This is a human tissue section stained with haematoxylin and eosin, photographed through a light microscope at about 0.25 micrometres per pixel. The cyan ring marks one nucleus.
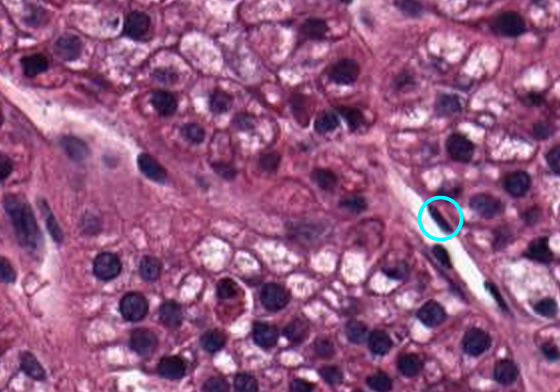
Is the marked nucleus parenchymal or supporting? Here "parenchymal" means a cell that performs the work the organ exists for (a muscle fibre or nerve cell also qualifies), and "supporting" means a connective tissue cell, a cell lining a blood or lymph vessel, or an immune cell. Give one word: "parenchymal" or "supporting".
supporting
